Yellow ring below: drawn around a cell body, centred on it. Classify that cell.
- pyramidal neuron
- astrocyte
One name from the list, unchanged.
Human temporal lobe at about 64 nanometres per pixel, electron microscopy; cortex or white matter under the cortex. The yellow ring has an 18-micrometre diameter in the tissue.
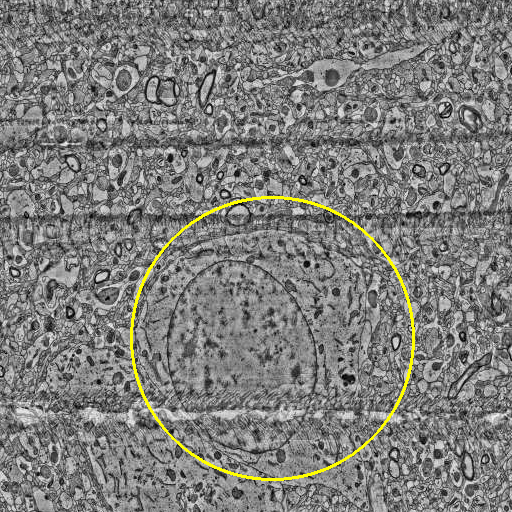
pyramidal neuron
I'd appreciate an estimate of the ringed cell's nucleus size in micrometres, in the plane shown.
The nucleus of the ringed cell is approximately 13 by 10 micrometres in this plane.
